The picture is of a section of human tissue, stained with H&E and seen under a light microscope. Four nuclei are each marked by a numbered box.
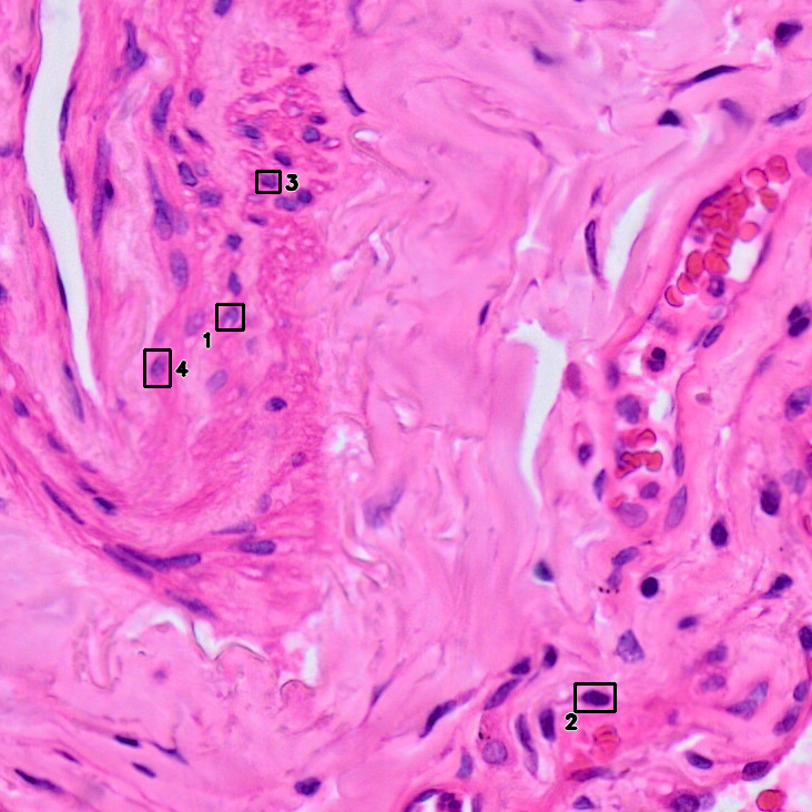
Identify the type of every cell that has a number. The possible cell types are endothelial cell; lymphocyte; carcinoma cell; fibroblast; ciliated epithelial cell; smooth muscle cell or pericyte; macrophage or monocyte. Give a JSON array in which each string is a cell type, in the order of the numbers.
["smooth muscle cell or pericyte", "lymphocyte", "smooth muscle cell or pericyte", "smooth muscle cell or pericyte"]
